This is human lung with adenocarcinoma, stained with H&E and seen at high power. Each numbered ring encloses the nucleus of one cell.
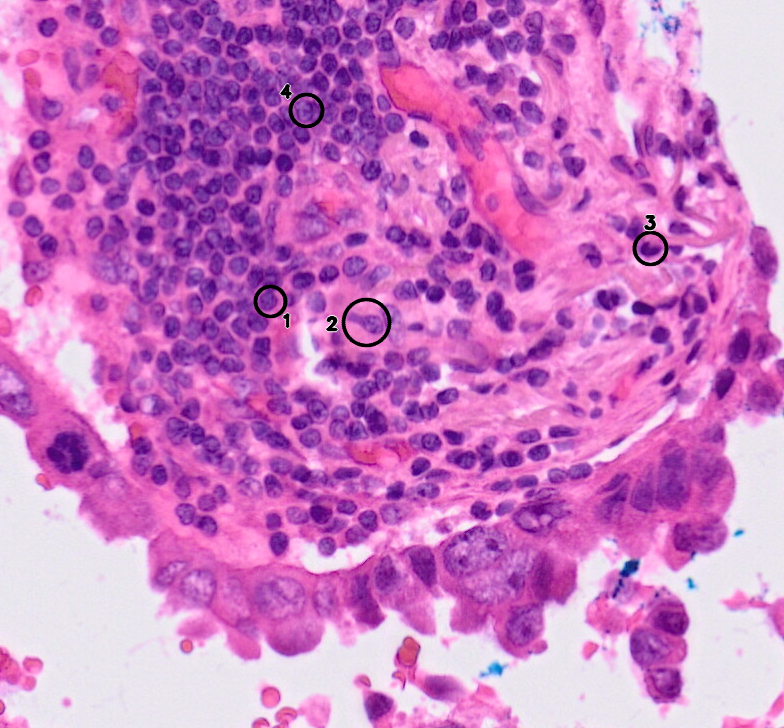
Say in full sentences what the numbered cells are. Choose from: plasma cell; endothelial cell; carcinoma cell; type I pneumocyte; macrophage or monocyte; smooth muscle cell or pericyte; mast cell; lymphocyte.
Cells 1, 2 and 4 are lymphocytes. Cell 3 is a plasma cell.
